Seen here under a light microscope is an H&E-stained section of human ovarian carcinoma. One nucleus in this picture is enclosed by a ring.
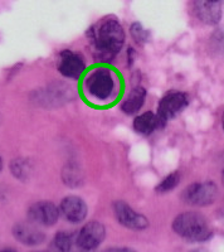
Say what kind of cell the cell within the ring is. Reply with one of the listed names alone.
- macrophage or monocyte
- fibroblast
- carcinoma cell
carcinoma cell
